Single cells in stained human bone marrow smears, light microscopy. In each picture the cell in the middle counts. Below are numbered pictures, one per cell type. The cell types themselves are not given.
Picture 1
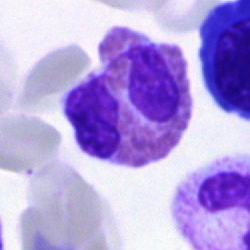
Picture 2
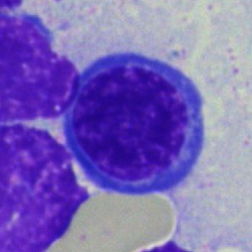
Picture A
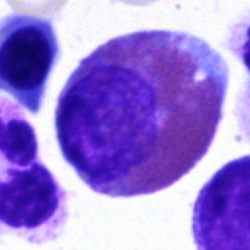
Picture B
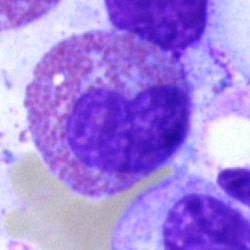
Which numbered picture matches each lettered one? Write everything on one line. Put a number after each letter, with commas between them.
A 1, B 1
